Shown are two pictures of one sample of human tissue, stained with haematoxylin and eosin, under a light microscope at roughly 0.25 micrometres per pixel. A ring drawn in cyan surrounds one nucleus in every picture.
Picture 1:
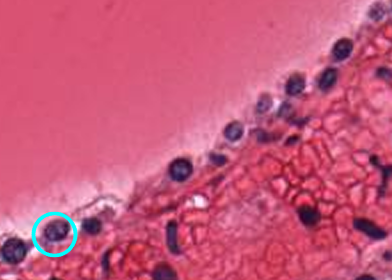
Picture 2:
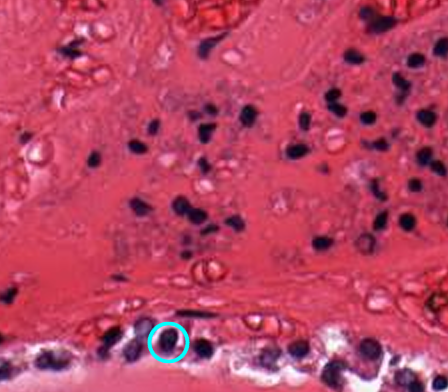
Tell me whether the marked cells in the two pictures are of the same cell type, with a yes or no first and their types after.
Yes, both are thyroid follicular cells.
